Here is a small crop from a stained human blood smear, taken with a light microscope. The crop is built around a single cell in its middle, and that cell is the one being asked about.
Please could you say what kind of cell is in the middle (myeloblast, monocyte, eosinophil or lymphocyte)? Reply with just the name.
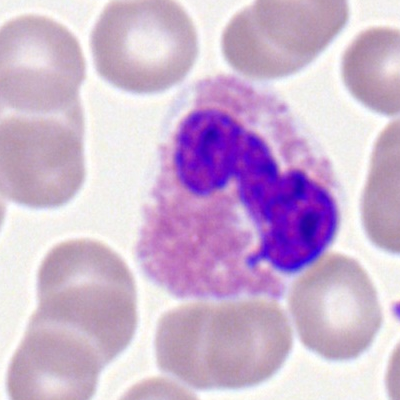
eosinophil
